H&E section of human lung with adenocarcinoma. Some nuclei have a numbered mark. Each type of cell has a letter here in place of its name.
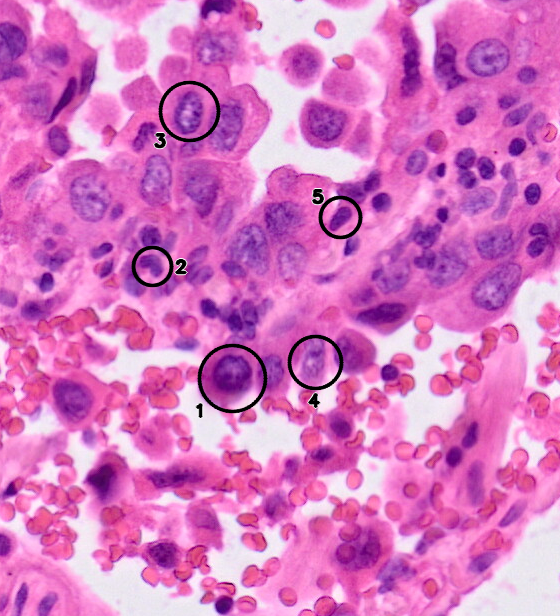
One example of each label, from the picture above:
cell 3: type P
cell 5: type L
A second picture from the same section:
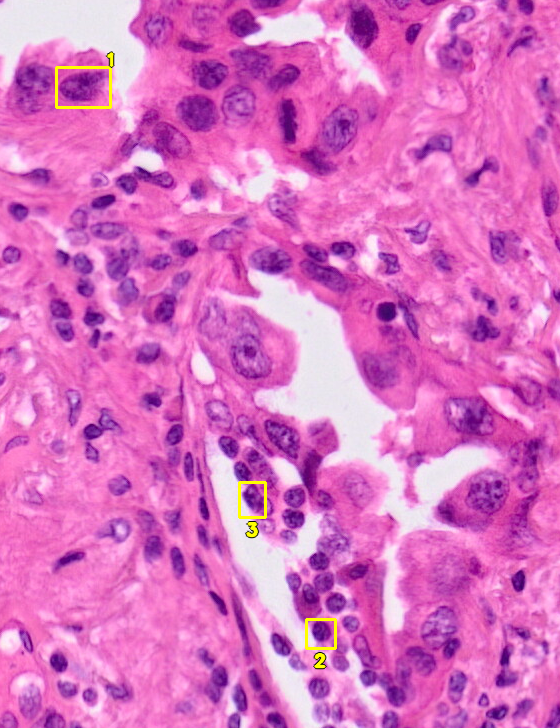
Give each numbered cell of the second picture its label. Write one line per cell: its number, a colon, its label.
1: type P
2: type L
3: type L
